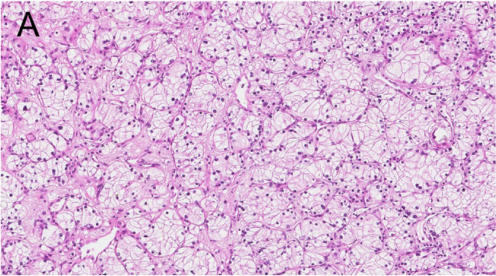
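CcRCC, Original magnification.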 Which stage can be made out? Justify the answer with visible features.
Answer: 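Clear to light granular. Tumour cells have pale, empty-looking cytoplasm. Cells lie in nests separated by a delicate network of thin vessels. Nuclei are small and round.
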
